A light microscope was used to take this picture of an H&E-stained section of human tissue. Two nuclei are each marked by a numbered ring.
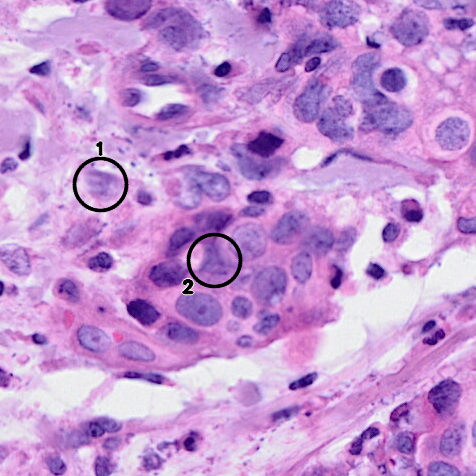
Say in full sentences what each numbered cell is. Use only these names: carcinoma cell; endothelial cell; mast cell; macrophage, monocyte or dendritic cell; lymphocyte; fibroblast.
Cell 1 is a fibroblast and cell 2 is a carcinoma cell.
